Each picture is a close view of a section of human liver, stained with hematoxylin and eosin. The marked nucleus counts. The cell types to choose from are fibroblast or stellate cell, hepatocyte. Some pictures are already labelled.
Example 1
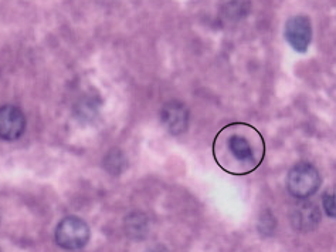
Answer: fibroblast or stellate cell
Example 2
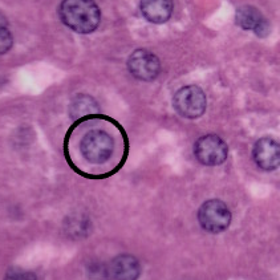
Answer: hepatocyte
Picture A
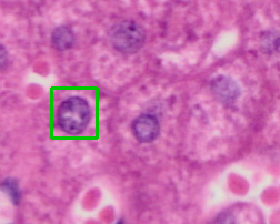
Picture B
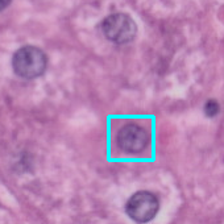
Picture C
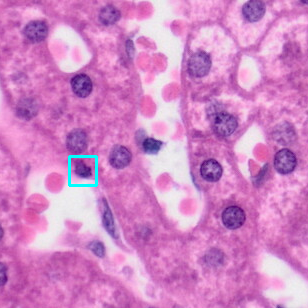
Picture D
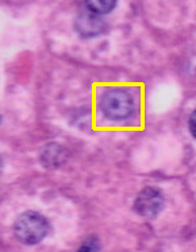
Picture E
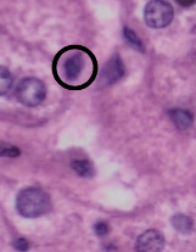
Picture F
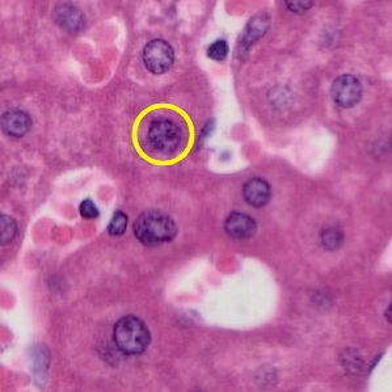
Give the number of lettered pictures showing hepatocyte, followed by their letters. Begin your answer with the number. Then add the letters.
Count: 4 (A, B, D, F)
